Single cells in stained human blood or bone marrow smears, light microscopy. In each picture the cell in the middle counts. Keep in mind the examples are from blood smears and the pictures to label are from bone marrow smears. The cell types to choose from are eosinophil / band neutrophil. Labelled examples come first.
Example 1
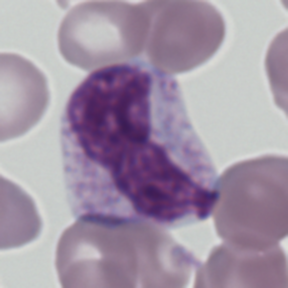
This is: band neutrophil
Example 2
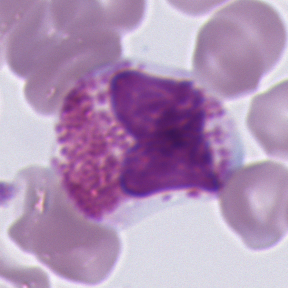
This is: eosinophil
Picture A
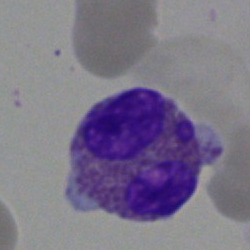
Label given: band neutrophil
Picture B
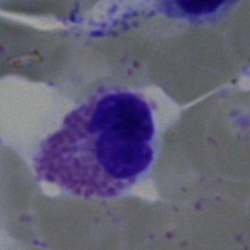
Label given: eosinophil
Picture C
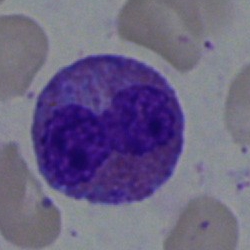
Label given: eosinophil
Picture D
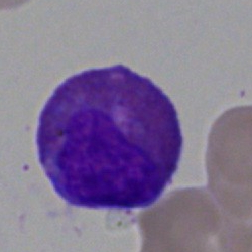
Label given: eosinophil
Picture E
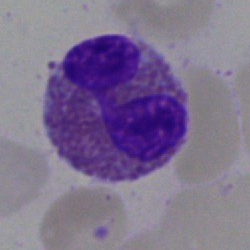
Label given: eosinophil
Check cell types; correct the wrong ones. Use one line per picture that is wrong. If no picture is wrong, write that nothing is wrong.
A: not band neutrophil but eosinophil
